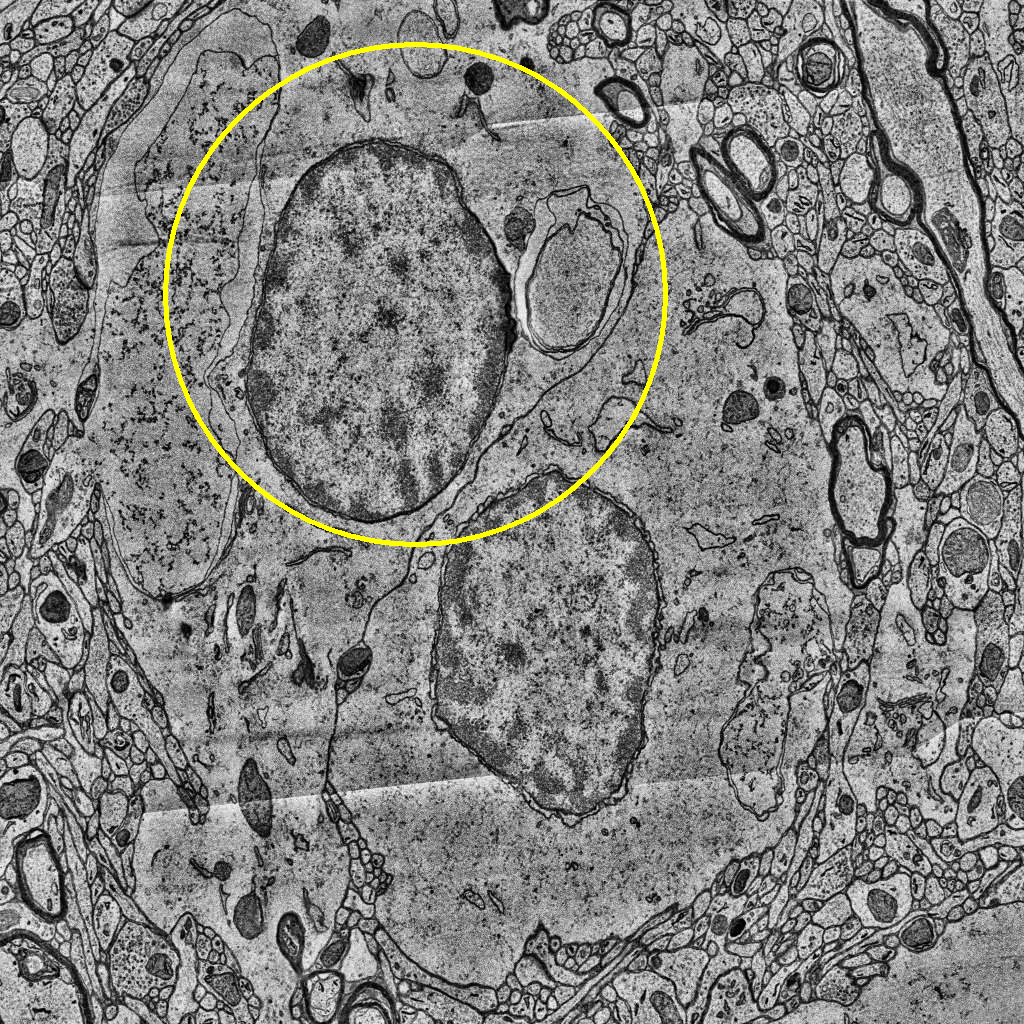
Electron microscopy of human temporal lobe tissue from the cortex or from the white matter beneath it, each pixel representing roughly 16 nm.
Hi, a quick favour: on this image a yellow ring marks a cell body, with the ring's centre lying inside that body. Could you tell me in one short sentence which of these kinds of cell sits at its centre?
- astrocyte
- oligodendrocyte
The ring's centre lies in an astrocyte.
